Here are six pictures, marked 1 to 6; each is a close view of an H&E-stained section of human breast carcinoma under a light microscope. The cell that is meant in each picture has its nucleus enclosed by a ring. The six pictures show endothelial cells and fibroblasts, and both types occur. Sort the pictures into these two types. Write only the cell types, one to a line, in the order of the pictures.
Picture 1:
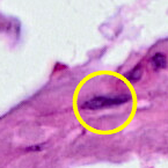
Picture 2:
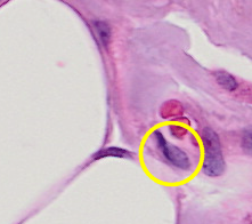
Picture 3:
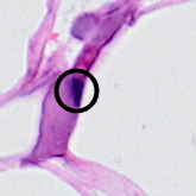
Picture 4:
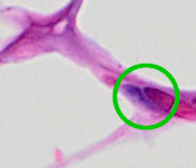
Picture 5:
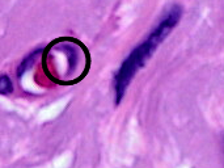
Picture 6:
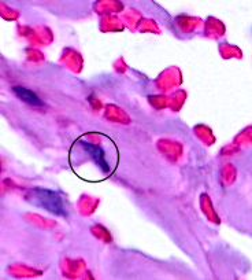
fibroblast
endothelial cell
fibroblast
endothelial cell
endothelial cell
fibroblast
